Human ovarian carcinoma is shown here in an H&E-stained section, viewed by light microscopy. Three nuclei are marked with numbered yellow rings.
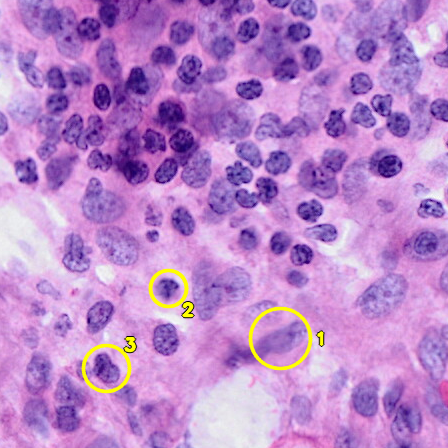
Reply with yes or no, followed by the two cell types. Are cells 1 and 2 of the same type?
No, cell 1 is a fibroblast, and cell 2, for its part, is a lymphocyte.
